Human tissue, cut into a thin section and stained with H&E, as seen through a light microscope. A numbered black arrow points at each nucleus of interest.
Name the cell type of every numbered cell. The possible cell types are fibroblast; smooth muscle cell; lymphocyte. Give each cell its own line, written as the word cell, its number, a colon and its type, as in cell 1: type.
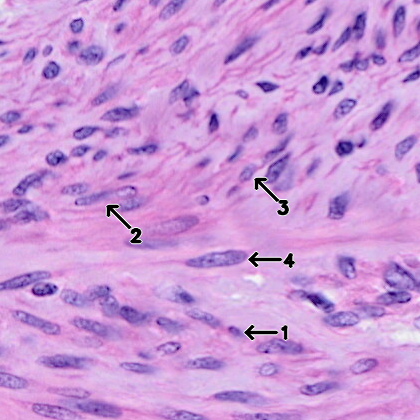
cell 1: smooth muscle cell
cell 2: smooth muscle cell
cell 3: smooth muscle cell
cell 4: fibroblast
